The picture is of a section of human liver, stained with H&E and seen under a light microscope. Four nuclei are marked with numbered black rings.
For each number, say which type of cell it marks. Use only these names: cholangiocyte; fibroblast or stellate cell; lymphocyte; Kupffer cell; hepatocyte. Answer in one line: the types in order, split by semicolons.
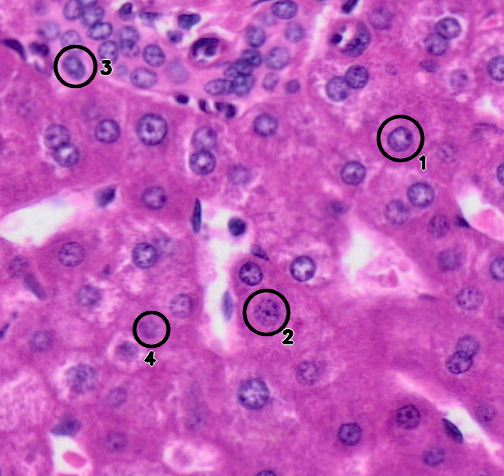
hepatocyte; hepatocyte; cholangiocyte; hepatocyte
